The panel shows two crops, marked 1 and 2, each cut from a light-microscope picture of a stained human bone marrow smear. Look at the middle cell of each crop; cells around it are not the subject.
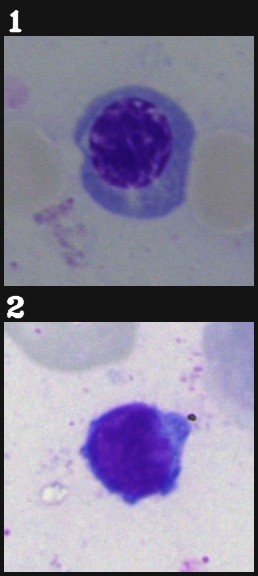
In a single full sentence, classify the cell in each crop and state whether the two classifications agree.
No, it is in crop 1 that a normoblast is shown, and in crop 2 that a lymphocyte is shown.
